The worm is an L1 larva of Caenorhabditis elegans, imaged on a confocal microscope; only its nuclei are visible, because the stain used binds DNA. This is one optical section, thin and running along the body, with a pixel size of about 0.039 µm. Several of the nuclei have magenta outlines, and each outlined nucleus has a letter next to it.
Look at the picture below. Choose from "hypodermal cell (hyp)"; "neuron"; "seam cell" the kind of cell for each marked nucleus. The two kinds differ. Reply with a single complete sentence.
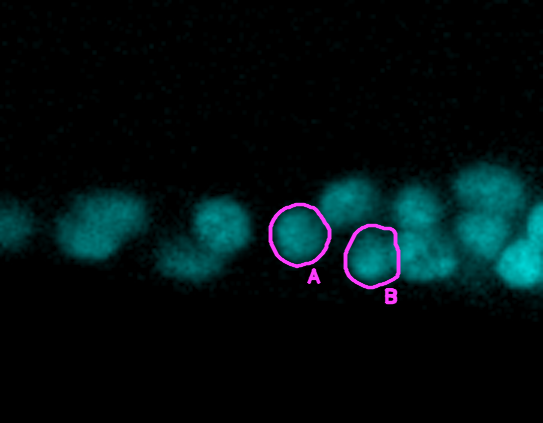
Nucleus A comes from a hypodermal cell (hyp) and nucleus B from a neuron.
